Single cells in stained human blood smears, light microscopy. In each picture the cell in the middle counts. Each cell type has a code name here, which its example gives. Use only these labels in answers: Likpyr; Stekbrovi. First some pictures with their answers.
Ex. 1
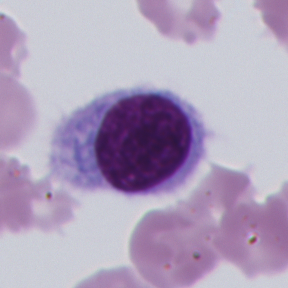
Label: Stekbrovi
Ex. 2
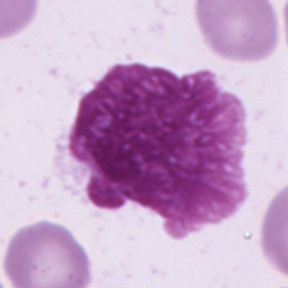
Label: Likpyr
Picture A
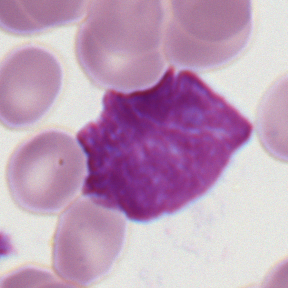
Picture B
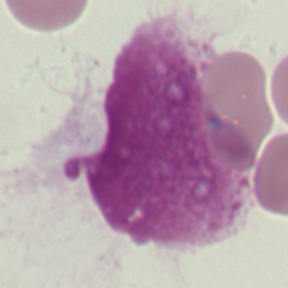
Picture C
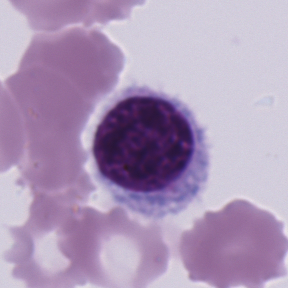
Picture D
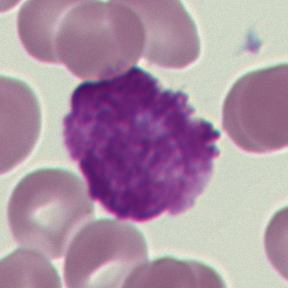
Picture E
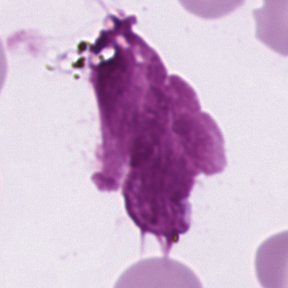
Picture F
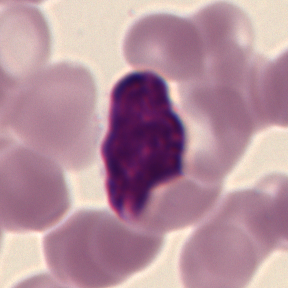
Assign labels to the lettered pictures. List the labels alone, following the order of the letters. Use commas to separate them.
Likpyr, Likpyr, Stekbrovi, Likpyr, Likpyr, Likpyr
